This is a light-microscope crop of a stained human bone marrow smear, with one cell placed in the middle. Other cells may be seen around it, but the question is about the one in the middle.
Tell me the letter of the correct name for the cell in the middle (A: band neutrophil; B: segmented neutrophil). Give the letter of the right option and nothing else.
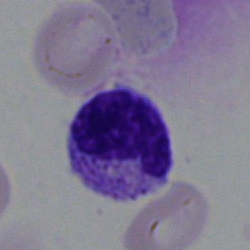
A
